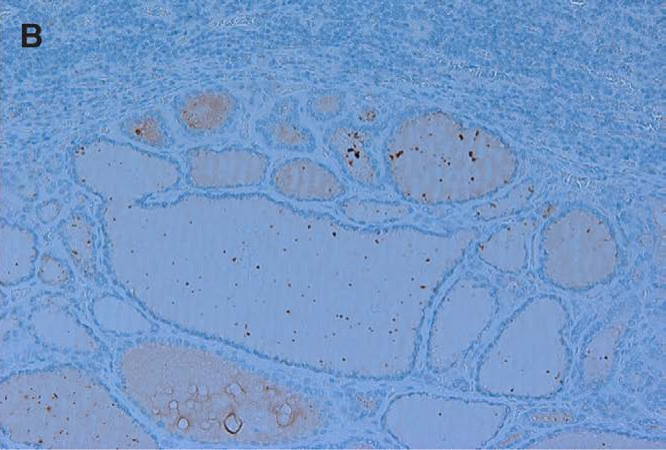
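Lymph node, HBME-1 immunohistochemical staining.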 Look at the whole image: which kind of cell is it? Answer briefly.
Follicular cells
